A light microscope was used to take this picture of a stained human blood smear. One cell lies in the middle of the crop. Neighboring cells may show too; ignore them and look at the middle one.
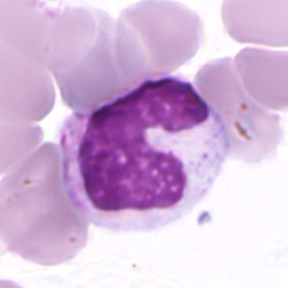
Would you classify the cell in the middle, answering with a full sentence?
Framed in the middle of the crop is a band neutrophil.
